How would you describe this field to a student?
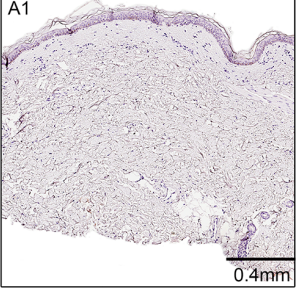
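This section of skin shows a thin epidermis along the upper surface, a narrow band of densely packed cells whose nuclei stain purple. Below it lies a thick dermis of pale, loosely interwoven collagen bundles with small, sparsely scattered purple nuclei and a few thin-walled spaces. Brown deposits are essentially absent throughout the tissue.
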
